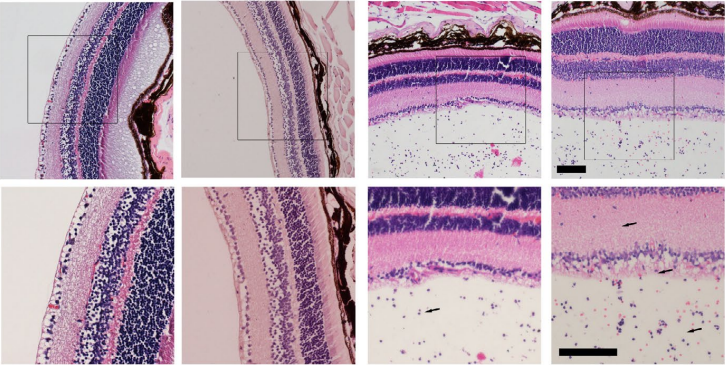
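Retina in cross-section, with dark purple bands of densely packed nuclei alternating with paler pink layers, and a black pigmented layer along its outer side. In the right-hand images, scattered small round inflammatory cells with dark nuclei lie in the clear space in front of the inner retinal surface and along it, whereas this space is empty in the left-hand images.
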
